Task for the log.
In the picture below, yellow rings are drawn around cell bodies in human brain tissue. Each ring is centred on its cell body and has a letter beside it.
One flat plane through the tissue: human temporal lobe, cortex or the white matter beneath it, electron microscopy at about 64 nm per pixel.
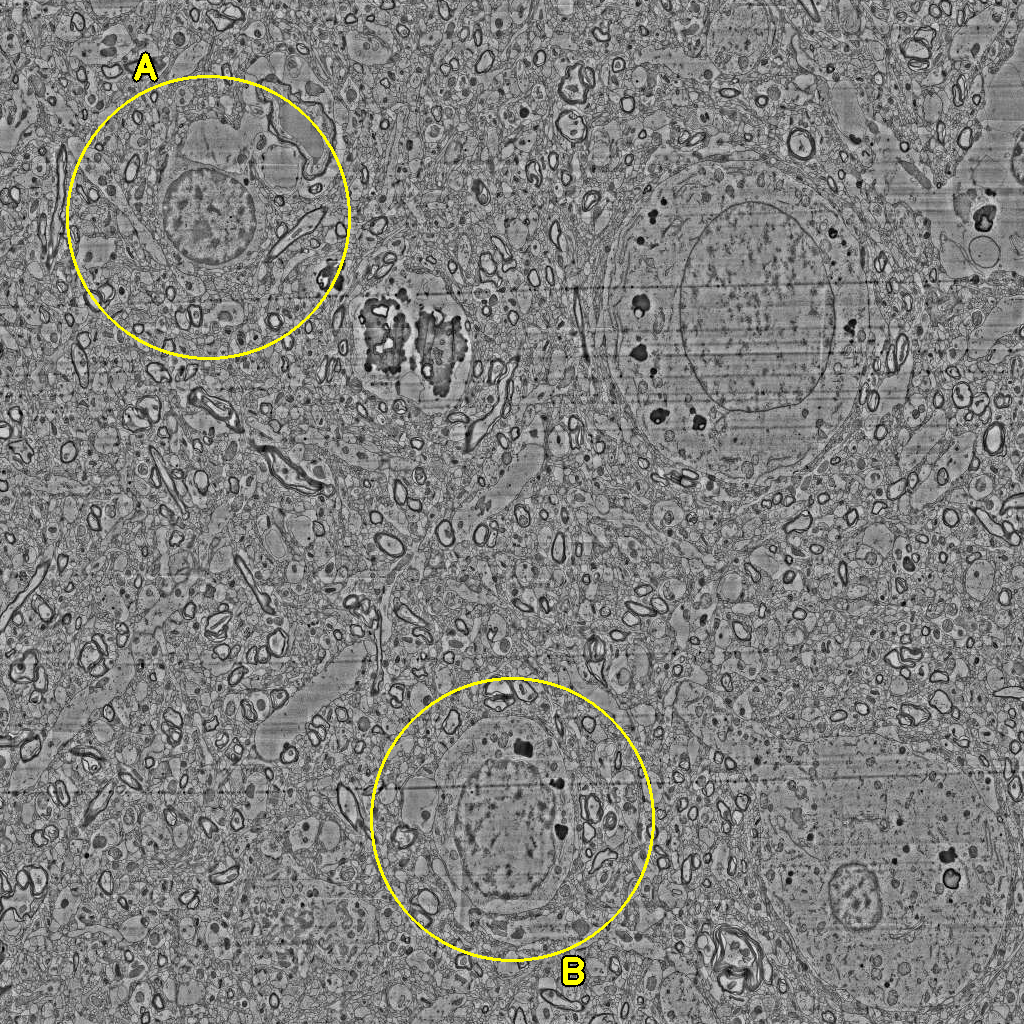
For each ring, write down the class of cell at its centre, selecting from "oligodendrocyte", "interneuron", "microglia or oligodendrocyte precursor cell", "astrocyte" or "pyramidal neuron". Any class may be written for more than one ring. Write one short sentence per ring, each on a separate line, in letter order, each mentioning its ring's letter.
The cell inside ring A, at its centre, is an oligodendrocyte.
The cell inside ring B, at its centre, is an interneuron.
